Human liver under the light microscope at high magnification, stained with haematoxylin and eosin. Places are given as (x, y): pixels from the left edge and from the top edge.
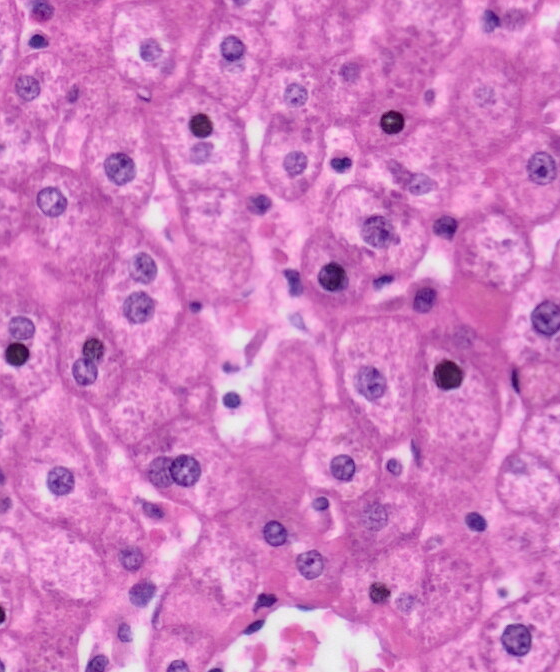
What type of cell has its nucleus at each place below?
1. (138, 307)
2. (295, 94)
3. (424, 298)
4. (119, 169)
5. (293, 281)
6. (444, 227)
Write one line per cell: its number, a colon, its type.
1: hepatocyte
2: hepatocyte
3: Kupffer cell
4: hepatocyte
5: endothelial cell
6: endothelial cell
